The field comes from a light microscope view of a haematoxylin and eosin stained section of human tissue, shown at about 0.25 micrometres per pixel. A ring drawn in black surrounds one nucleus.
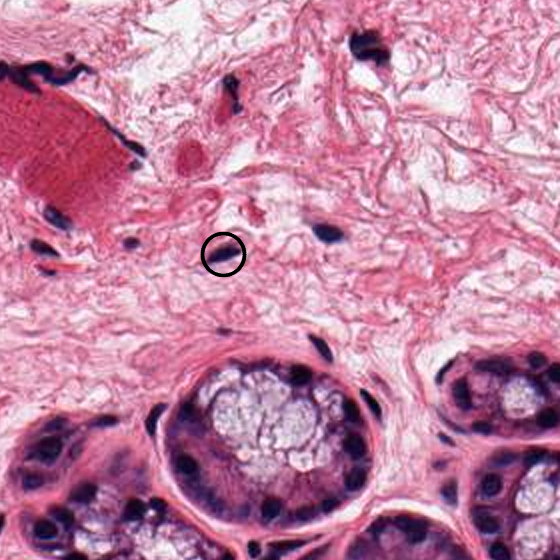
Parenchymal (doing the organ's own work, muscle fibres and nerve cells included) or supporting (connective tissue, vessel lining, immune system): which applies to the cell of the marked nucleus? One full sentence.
The marked nucleus is part of a supporting cell.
